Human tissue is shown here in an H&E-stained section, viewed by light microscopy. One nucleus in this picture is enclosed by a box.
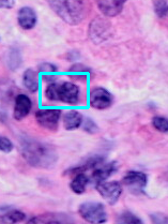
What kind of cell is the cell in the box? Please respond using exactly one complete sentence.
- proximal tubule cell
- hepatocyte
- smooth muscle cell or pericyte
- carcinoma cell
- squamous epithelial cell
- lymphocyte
It is a lymphocyte that the cell in the box represents.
